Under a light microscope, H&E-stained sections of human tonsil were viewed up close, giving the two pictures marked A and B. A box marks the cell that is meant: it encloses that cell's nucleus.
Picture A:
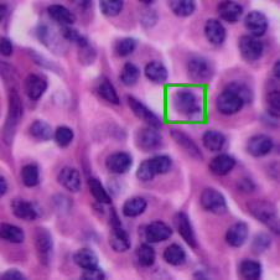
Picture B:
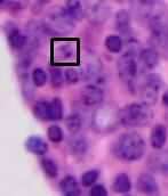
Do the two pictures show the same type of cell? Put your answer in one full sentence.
No, picture A shows a plasma cell and picture B shows a proliferating B cell.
